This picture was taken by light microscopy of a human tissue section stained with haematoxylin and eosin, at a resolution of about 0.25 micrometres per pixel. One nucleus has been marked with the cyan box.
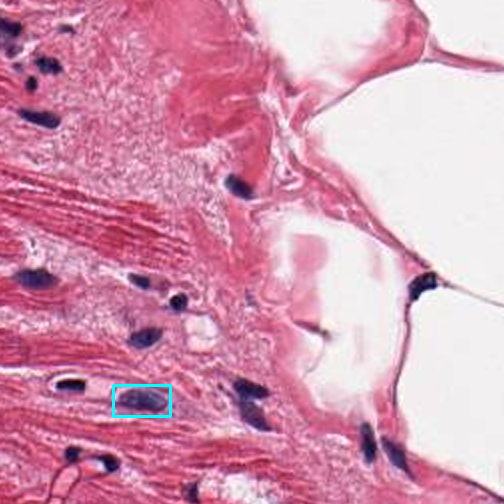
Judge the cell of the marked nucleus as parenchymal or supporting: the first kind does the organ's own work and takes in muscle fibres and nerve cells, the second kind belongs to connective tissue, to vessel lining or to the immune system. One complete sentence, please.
Here the marked nucleus belongs to a parenchymal cell, that is, a cardiomyocyte.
